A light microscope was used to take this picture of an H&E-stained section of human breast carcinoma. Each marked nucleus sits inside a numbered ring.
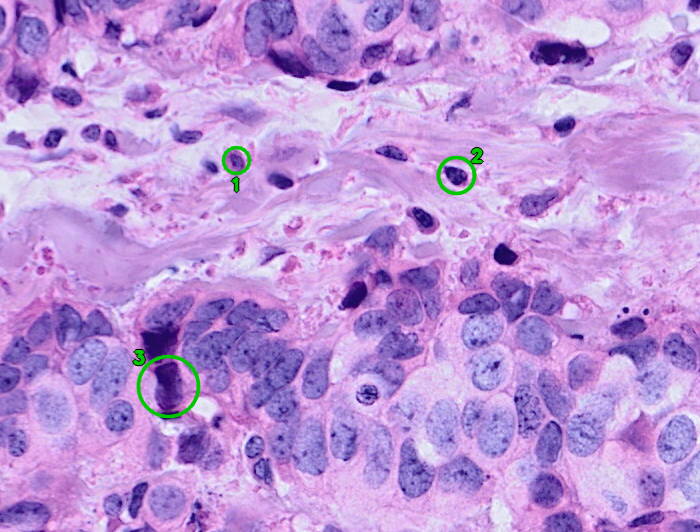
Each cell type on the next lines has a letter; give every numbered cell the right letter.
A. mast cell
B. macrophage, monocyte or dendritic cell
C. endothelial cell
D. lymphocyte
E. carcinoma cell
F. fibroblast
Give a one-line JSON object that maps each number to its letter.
{"1": "A", "2": "D", "3": "E"}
